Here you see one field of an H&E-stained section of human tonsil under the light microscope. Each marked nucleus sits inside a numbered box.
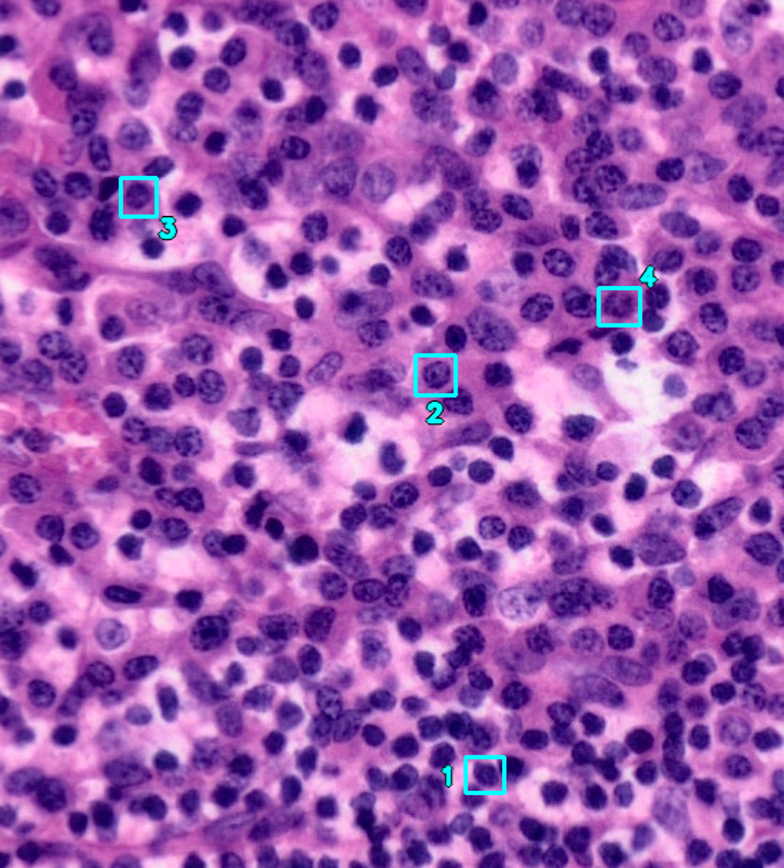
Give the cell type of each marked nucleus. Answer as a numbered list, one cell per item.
1. small lymphocyte
2. plasma cell
3. plasma cell
4. plasma cell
